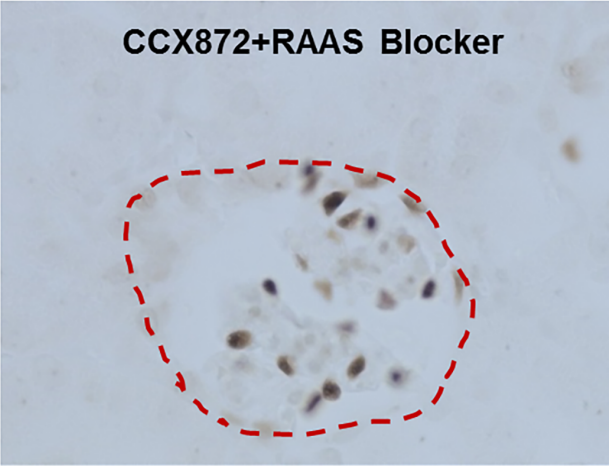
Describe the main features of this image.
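A rounded glomerulus sits within pale, faintly stained kidney tissue, its border traced by a dashed red line. Inside it many oval nuclei stain brown to nearly black, scattered over the tuft and gathered toward its outer parts. Between them lie fainter, unstained nuclei of other glomerular cells against a pale background.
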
